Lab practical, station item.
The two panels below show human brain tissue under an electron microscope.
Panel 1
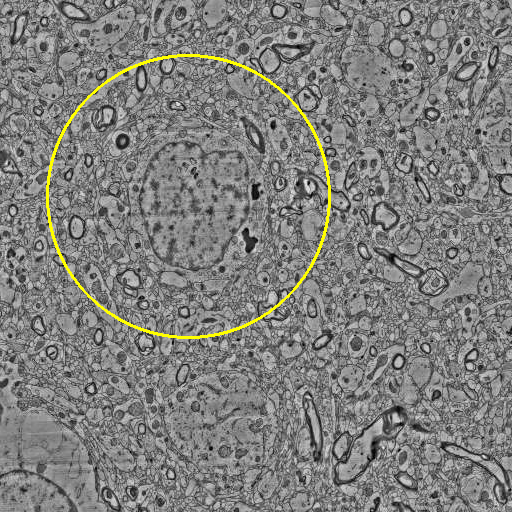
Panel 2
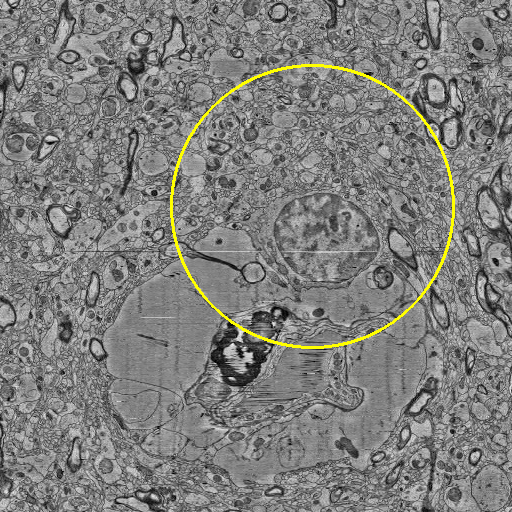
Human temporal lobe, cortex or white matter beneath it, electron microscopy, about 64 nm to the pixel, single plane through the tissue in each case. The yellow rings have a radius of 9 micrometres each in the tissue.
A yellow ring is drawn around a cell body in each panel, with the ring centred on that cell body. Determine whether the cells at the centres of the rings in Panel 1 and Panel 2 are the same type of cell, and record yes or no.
no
